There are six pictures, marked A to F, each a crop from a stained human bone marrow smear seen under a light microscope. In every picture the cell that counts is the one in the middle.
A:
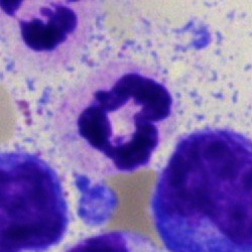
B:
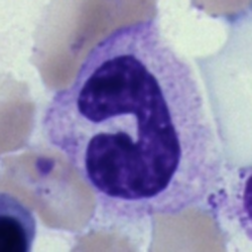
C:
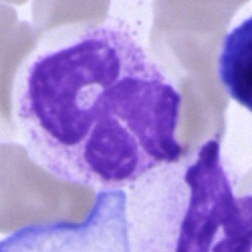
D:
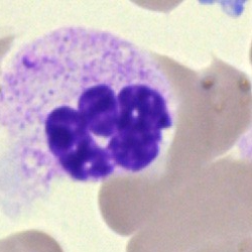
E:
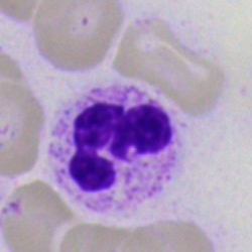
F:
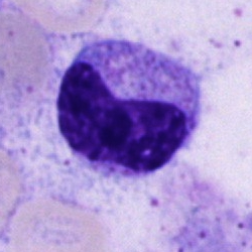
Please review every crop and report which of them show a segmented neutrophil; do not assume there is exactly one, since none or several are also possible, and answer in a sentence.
Shown in the centre of crops A, C, D and E are segmented neutrophils.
